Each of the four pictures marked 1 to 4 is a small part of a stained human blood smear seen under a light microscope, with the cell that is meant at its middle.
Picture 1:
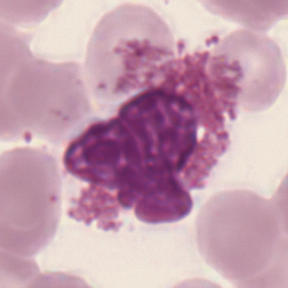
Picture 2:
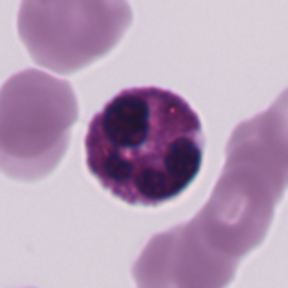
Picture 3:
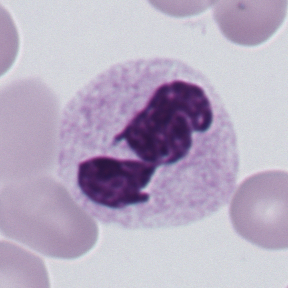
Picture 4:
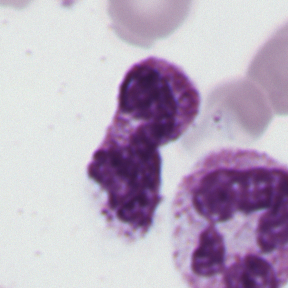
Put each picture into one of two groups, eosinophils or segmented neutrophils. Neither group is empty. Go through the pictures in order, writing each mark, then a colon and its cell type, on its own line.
1: eosinophil
2: eosinophil
3: segmented neutrophil
4: segmented neutrophil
